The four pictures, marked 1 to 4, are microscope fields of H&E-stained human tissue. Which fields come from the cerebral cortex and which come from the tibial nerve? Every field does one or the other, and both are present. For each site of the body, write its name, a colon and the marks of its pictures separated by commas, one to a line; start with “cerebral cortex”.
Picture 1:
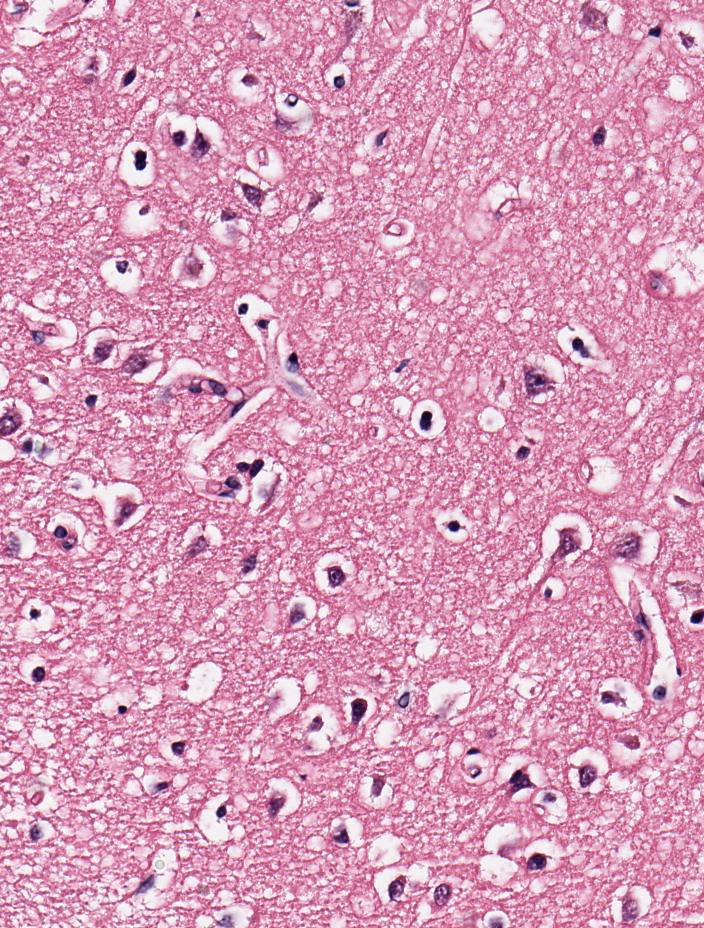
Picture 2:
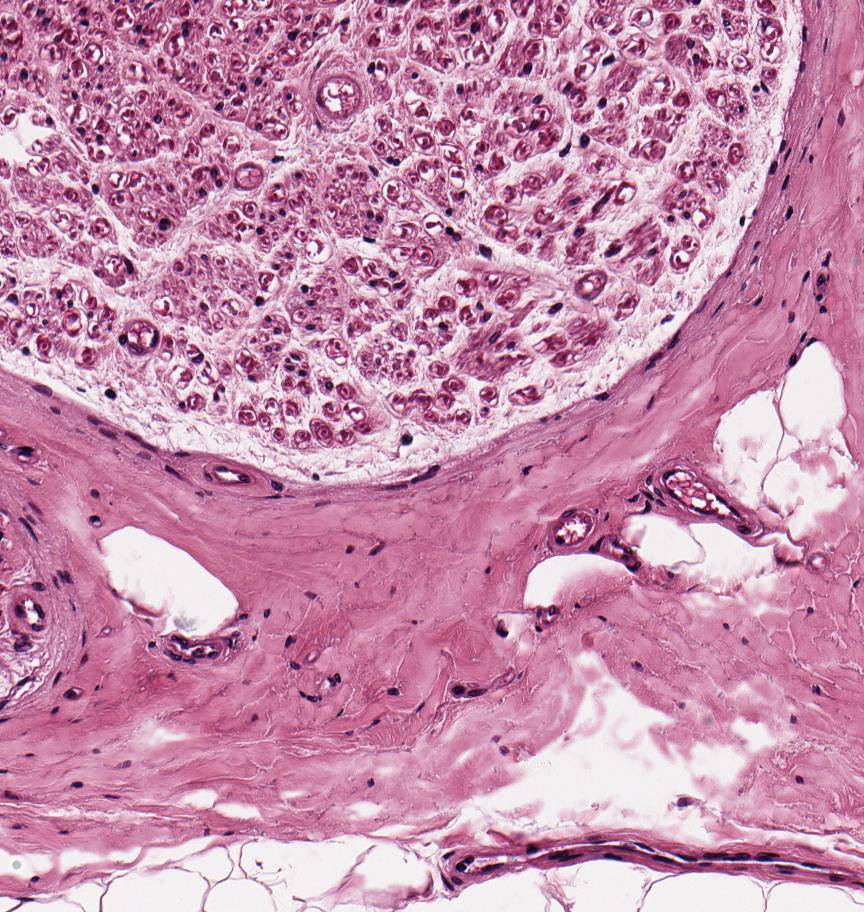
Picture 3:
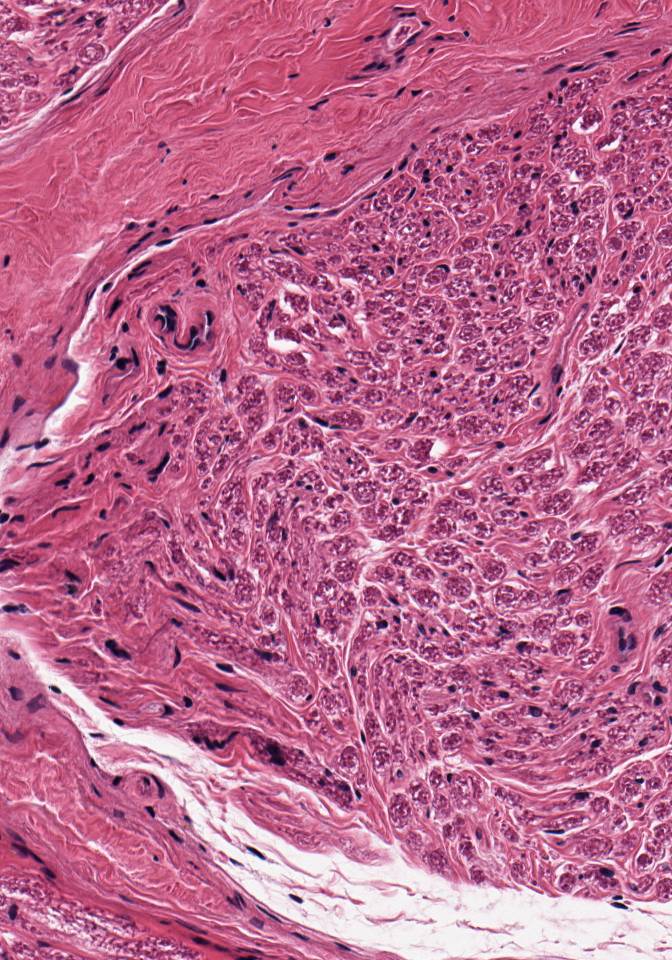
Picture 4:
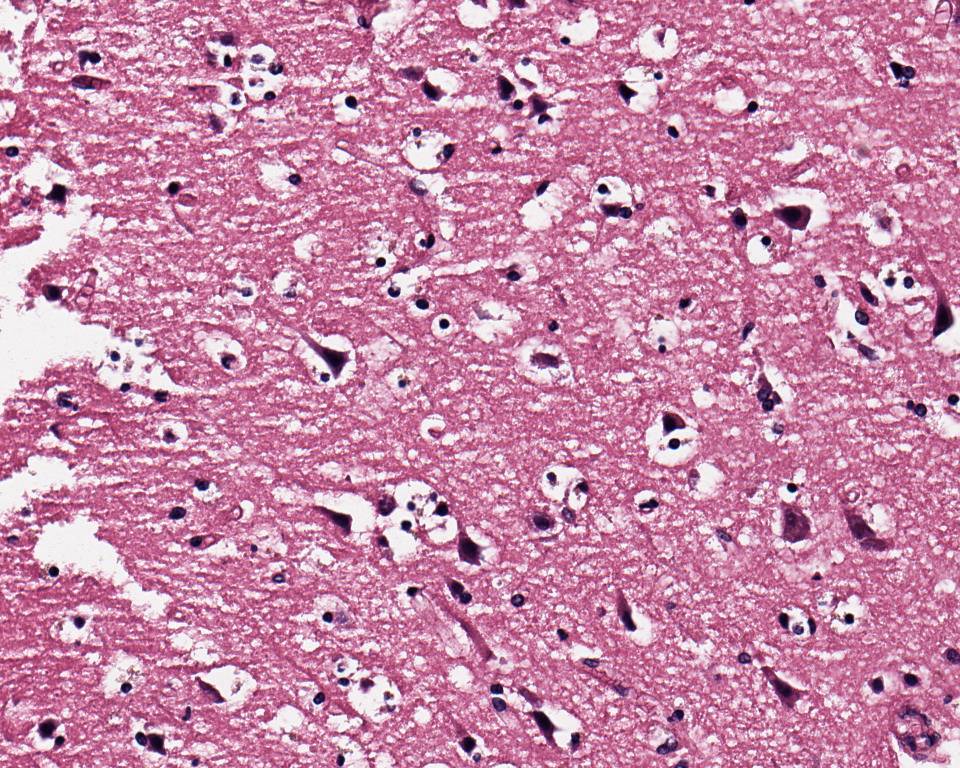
cerebral cortex: 1, 4
tibial nerve: 2, 3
